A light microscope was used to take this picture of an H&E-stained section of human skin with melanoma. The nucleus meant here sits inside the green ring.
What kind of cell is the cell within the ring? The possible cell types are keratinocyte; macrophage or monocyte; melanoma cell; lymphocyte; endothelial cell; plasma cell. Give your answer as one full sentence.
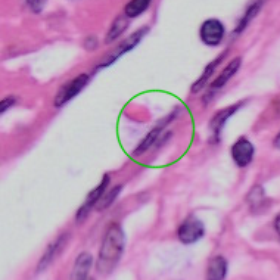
As far as its identity is concerned, the cell within the ring is an endothelial cell.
